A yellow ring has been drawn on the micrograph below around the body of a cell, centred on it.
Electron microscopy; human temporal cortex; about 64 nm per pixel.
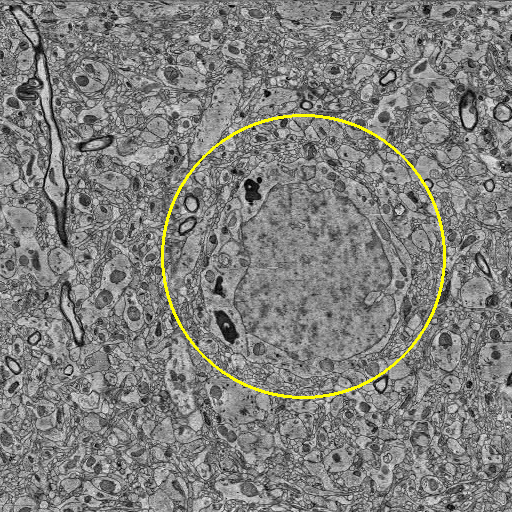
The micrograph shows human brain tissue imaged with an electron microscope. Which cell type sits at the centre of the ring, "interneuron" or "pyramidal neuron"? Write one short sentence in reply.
The cell sitting at the centre of the ring is an interneuron.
